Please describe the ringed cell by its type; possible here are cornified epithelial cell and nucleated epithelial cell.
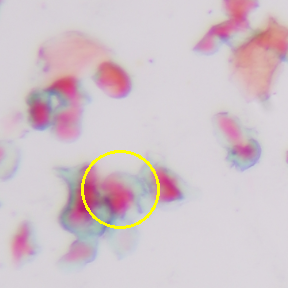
The yellow ring marks a nucleated epithelial cell.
